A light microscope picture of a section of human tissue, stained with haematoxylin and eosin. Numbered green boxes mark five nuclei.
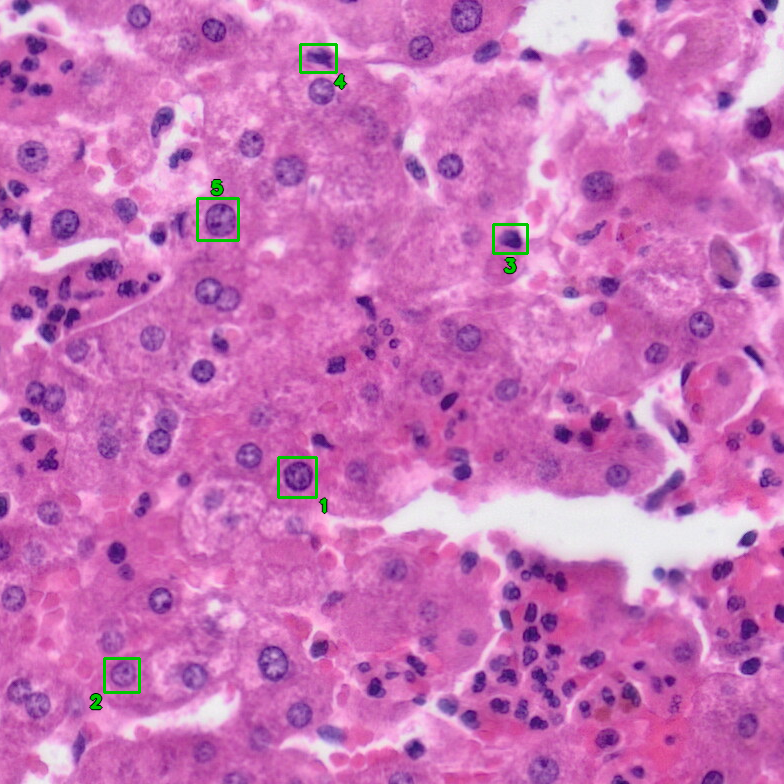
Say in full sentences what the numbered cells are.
Cell 1 is a hepatocyte, cell 2 is a hepatocyte, cell 3 is a fibroblast or stellate cell, cell 4 is a fibroblast or stellate cell and cell 5 is a hepatocyte.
